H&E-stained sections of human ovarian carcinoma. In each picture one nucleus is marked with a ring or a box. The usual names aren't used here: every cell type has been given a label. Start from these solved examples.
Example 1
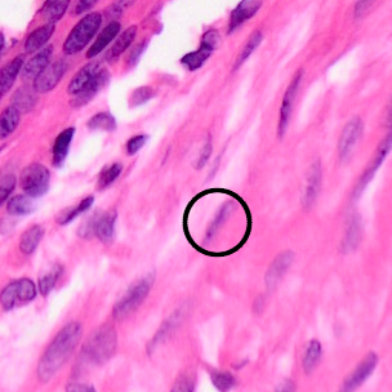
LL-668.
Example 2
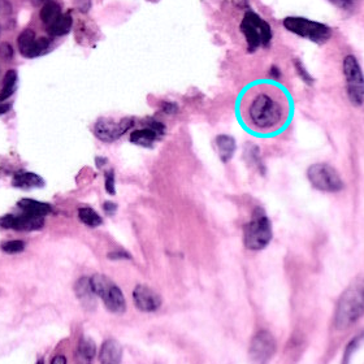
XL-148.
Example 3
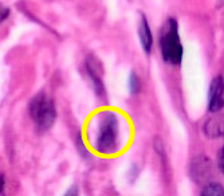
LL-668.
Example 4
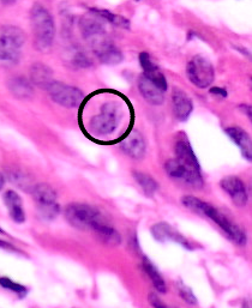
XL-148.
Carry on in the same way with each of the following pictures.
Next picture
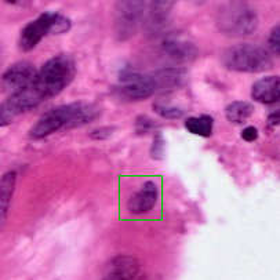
XL-148.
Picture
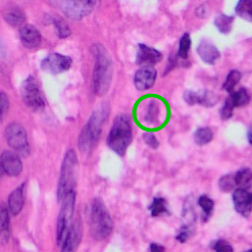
XL-148.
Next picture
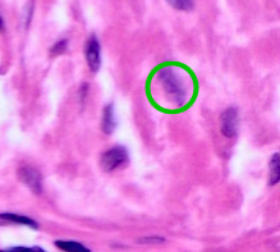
LL-668.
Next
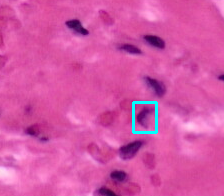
LL-668.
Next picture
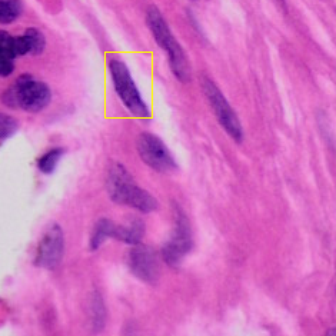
LL-668.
